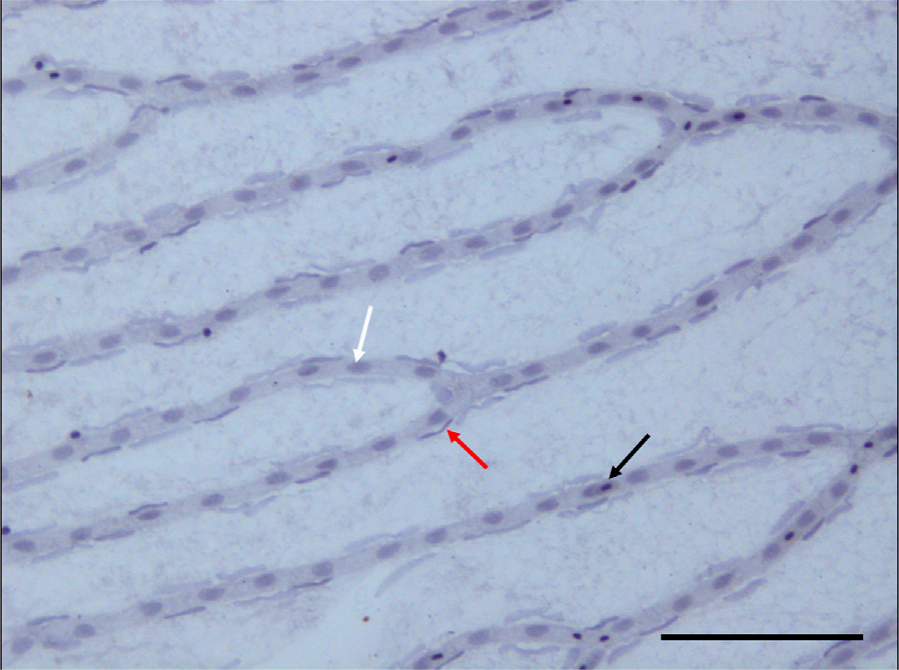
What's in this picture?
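Isolated retinal vascular network with branching, roughly parallel capillary tubes cleared of surrounding retinal tissue, stained in pale purple. Endothelial cells have pale oval nuclei aligned with the long axis of each vessel and spaced fairly evenly along the walls. Scattered, smaller and darker nuclei lie within the vessel tubes. The background between vessels is clear, with only faint residual debris.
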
